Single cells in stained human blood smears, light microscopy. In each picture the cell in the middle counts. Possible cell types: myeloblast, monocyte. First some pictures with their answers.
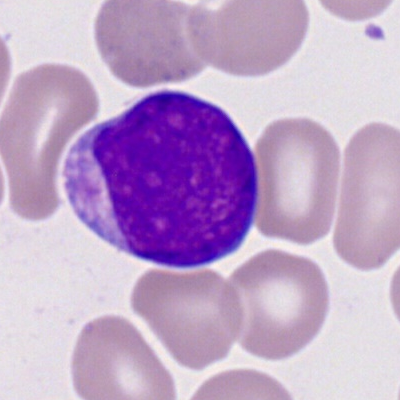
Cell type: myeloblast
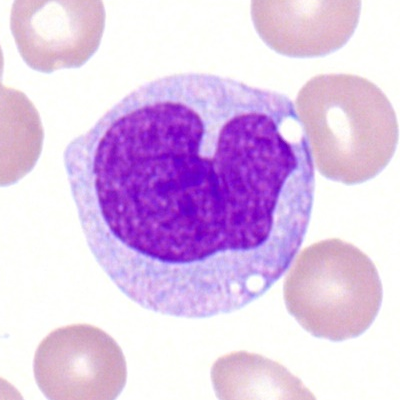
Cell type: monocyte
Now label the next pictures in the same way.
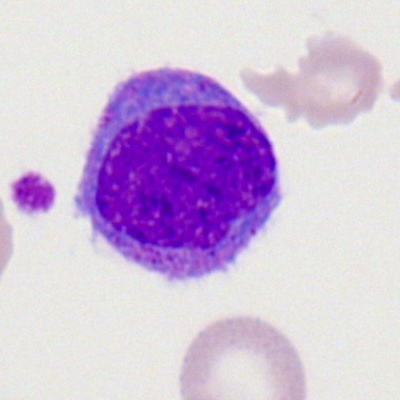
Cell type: monocyte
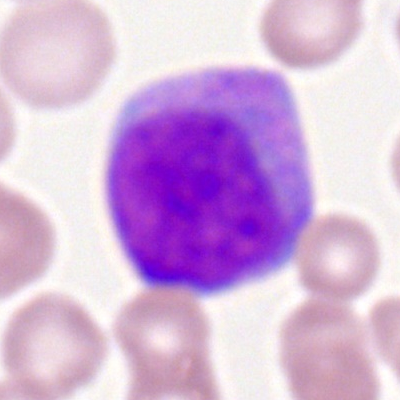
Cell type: myeloblast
